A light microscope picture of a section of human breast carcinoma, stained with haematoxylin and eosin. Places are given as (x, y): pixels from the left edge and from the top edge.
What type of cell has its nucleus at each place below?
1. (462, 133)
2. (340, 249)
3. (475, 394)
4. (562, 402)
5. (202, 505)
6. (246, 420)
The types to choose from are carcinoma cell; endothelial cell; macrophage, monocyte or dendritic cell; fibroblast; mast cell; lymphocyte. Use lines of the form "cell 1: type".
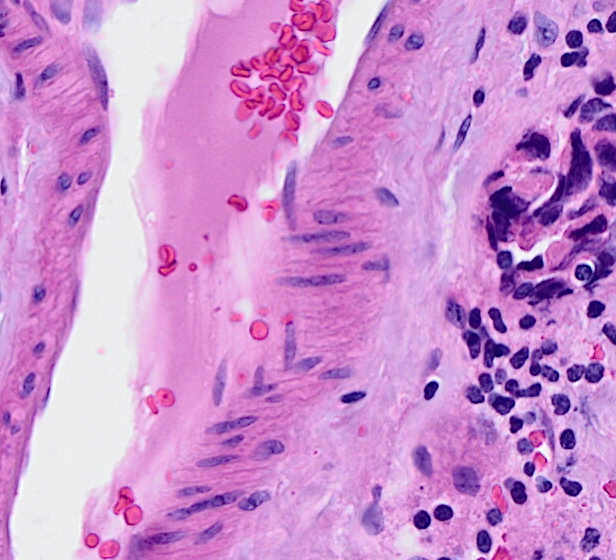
cell 1: fibroblast
cell 2: endothelial cell
cell 3: lymphocyte
cell 4: lymphocyte
cell 5: endothelial cell
cell 6: endothelial cell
